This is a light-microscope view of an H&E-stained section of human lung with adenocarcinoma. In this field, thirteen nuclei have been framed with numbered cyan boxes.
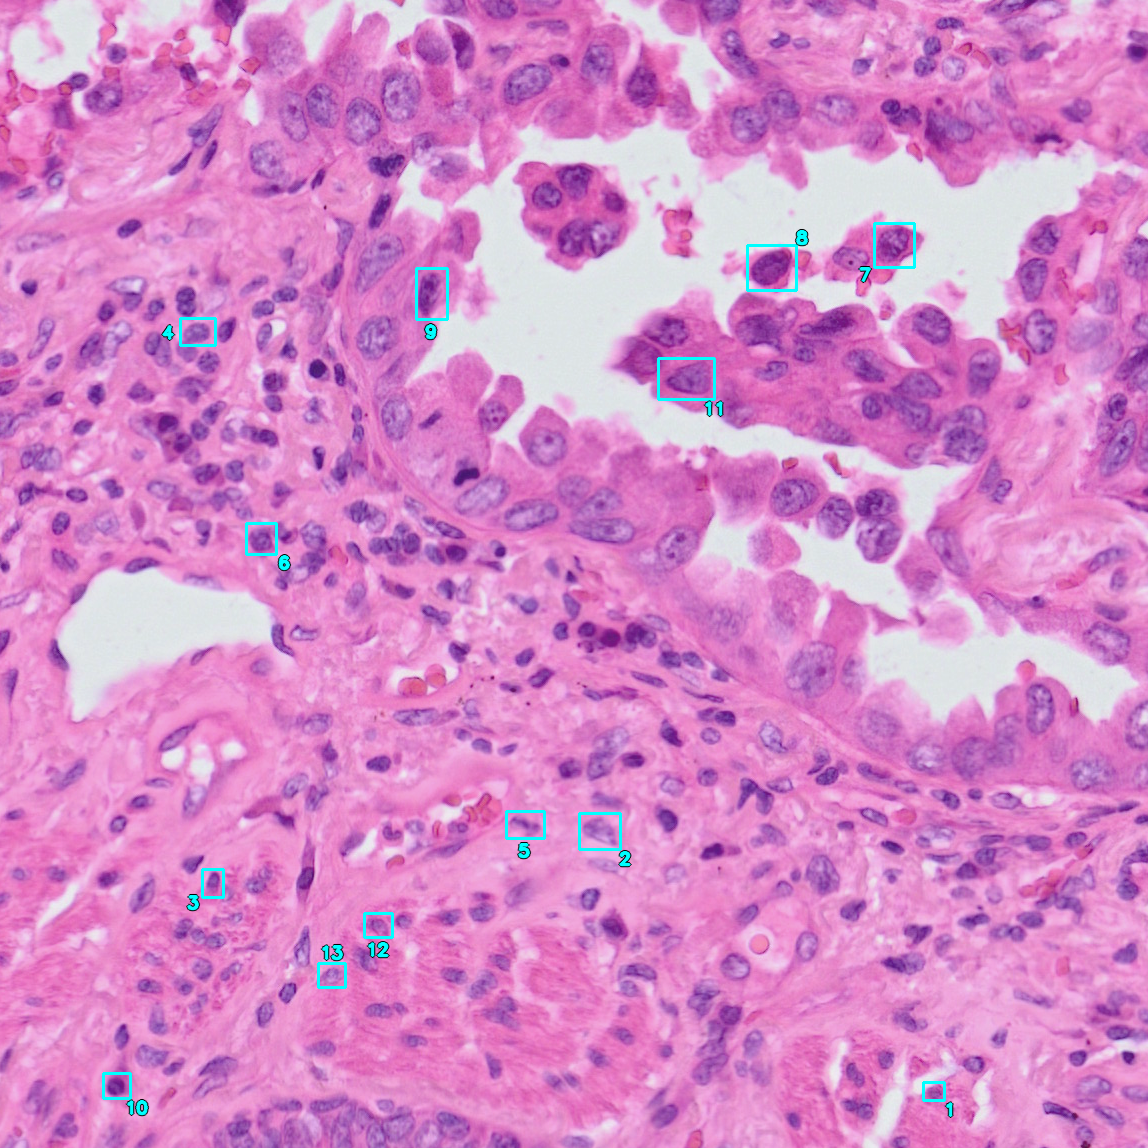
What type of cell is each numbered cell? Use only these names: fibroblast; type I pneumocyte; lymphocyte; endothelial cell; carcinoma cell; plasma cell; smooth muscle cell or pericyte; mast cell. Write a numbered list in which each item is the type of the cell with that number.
1. smooth muscle cell or pericyte
2. fibroblast
3. smooth muscle cell or pericyte
4. lymphocyte
5. fibroblast
6. plasma cell
7. carcinoma cell
8. carcinoma cell
9. carcinoma cell
10. plasma cell
11. carcinoma cell
12. smooth muscle cell or pericyte
13. smooth muscle cell or pericyte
